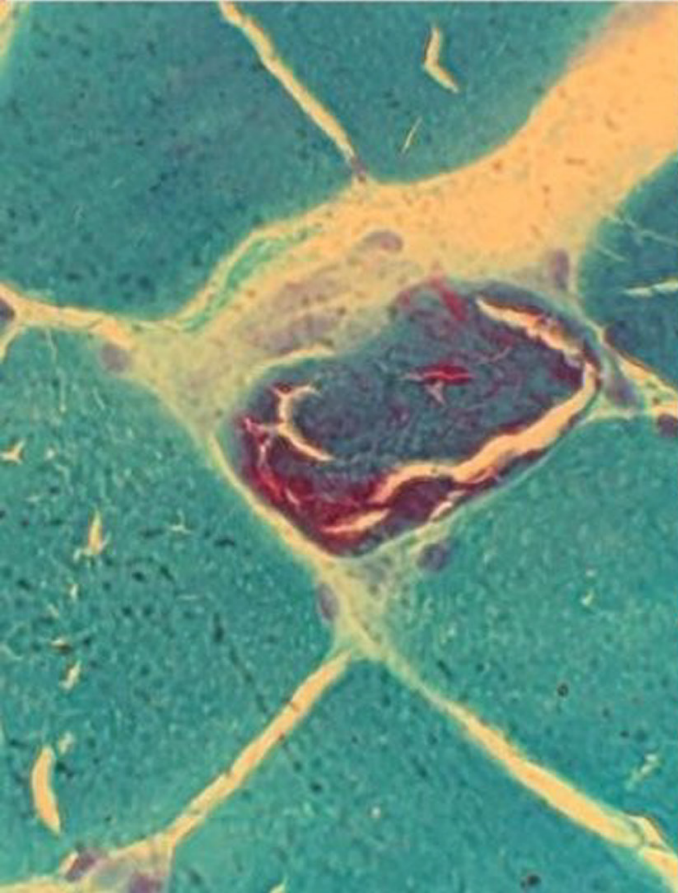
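At high magnification, several large, polygonal skeletal muscle fibers stain blue-green with a finely speckled cytoplasm, separated by pale yellowish connective tissue. In the center lies a smaller fiber whose cytoplasm is darker and bears irregular, clumped red deposits, heaviest along its rim just beneath the fiber's border and with red streaks and clefts running into its interior. This red, blotchy accumulation at the periphery and between the myofibrils gives the fiber a ragged red appearance, unlike its uniformly blue-green neighbours.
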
